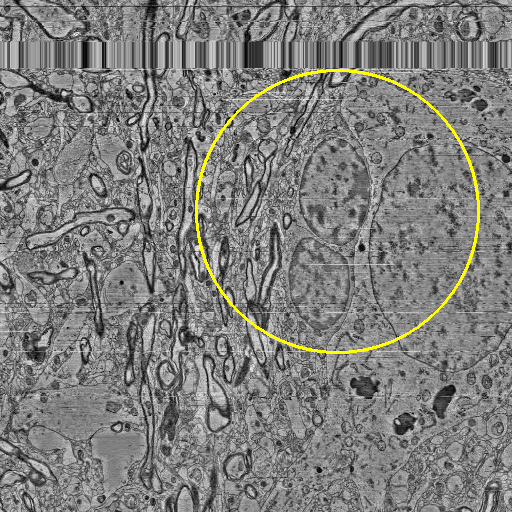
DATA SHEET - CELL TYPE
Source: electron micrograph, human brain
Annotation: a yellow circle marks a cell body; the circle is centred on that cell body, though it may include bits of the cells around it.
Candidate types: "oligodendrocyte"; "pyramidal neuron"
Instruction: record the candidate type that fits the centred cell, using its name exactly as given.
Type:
oligodendrocyte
